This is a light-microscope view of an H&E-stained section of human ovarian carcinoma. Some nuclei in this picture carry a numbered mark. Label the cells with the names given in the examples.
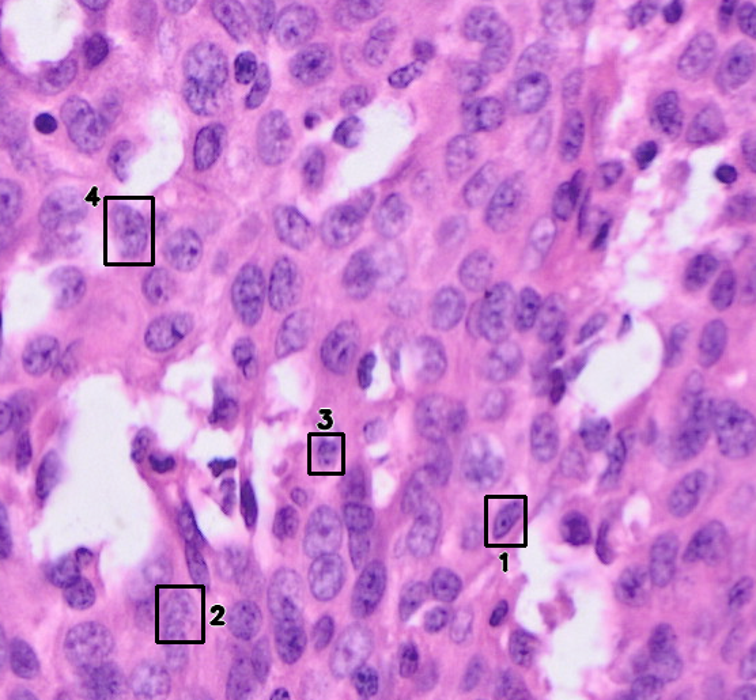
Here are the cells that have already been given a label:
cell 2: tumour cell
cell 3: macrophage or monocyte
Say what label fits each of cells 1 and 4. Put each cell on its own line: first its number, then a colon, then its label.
1: macrophage or monocyte
4: tumour cell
